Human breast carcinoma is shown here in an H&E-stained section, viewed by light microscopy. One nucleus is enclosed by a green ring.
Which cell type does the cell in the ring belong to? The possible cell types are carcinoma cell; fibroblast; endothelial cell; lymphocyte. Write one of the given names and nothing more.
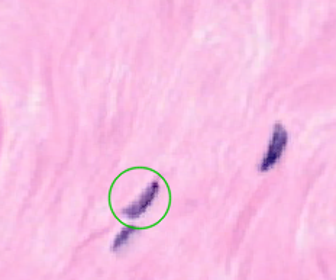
fibroblast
